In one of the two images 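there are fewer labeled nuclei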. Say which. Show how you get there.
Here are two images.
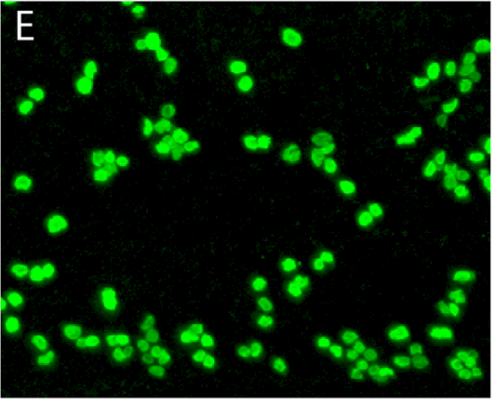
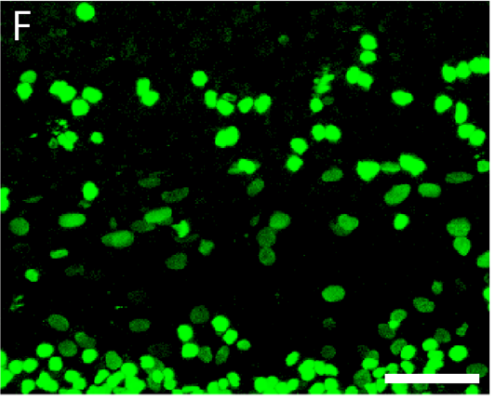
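Second image: green nuclei are densely packed, with a crowded band along the lower edge and many nuclei in between. First image: green nuclei are more widely scattered, with larger dark areas between them.
Hence: the first image.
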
